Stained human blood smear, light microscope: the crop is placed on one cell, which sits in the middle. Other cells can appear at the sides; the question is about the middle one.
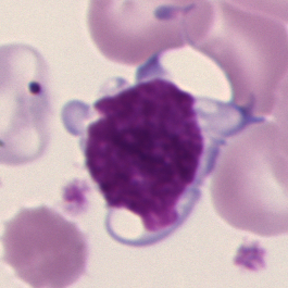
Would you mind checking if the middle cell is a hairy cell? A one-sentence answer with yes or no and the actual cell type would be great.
No, this one is a typical lymphocyte; it is not a hairy cell.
